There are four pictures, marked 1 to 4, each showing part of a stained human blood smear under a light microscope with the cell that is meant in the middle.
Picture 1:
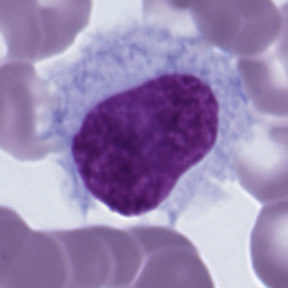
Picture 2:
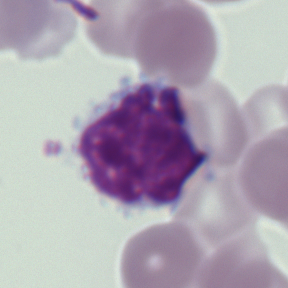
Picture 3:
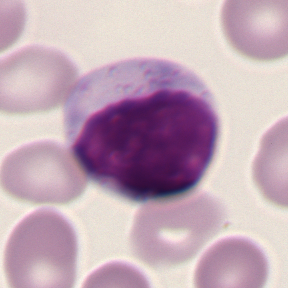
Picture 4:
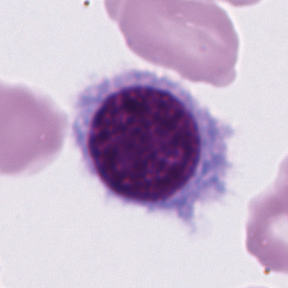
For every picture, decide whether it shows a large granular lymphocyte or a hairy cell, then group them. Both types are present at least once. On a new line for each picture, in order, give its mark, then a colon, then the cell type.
1: hairy cell
2: large granular lymphocyte
3: large granular lymphocyte
4: hairy cell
